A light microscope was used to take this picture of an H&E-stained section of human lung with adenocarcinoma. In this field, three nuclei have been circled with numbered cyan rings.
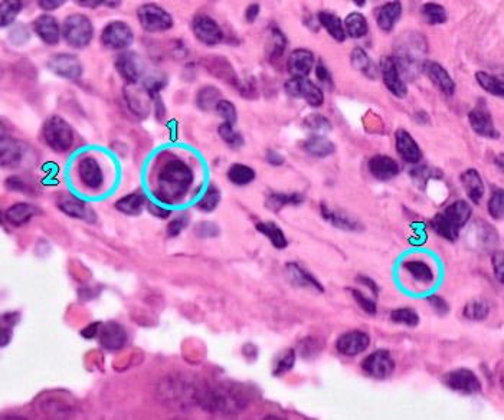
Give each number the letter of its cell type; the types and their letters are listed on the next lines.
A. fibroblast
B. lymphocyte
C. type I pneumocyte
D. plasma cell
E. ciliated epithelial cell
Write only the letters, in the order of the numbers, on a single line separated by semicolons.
D; B; B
